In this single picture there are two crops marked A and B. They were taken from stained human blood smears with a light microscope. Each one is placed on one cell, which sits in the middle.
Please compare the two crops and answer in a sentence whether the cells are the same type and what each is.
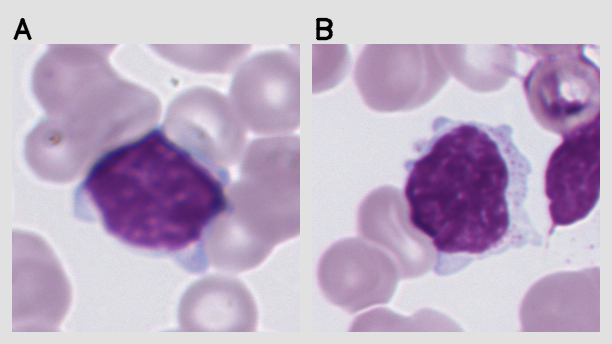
Yes, the middle cells in the two crops are large granular lymphocytes.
